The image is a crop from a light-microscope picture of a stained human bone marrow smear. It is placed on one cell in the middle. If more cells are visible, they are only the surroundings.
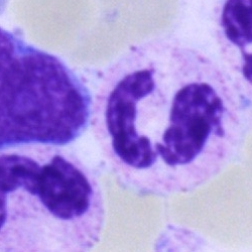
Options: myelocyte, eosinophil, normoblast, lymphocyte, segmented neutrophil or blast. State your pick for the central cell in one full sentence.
The identification for the central cell is a segmented neutrophil.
